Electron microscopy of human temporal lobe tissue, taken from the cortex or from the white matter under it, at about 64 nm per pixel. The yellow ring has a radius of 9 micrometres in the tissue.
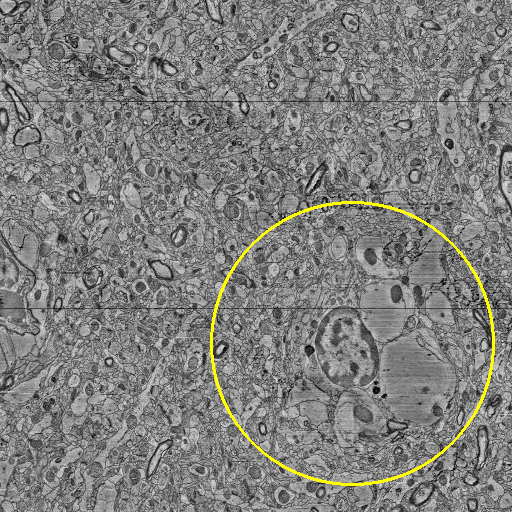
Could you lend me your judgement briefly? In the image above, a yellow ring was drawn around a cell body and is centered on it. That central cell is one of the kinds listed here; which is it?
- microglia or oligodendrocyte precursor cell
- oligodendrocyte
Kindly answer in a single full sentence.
Going by the list, a microglial cell or oligodendrocyte precursor cell is the kind at the ring's center in the picture.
